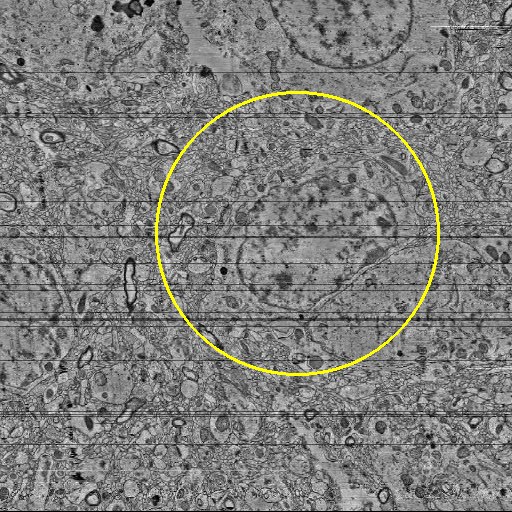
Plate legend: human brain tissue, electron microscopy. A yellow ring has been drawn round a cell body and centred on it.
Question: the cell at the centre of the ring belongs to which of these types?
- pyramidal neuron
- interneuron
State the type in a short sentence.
The cell in the middle of the ring is an interneuron.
